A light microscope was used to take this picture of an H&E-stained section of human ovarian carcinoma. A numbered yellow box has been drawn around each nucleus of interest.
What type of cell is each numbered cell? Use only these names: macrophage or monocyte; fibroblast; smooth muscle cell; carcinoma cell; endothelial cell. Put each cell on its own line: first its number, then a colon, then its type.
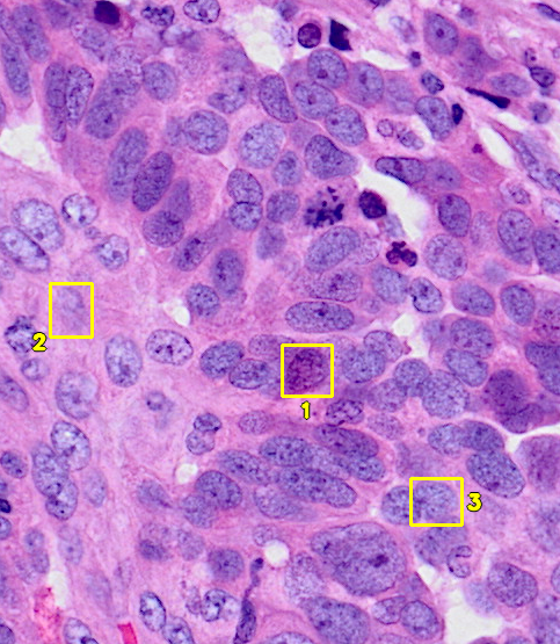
1: carcinoma cell
2: fibroblast
3: carcinoma cell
